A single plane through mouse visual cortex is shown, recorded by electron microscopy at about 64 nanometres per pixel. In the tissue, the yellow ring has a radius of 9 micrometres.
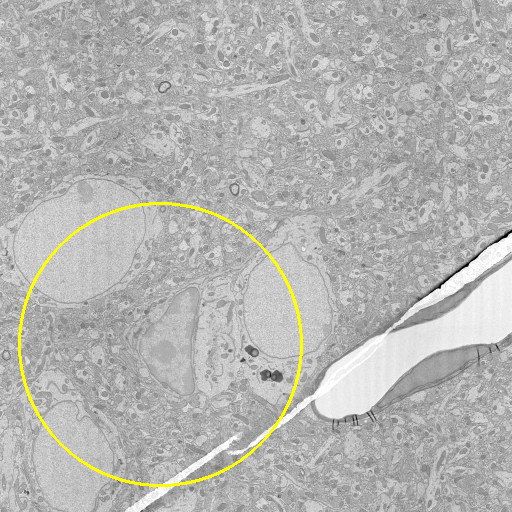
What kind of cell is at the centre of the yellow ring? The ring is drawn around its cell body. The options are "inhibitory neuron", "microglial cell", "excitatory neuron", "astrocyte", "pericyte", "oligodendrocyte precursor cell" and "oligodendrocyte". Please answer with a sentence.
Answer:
The yellow ring marks the cell body of a microglial cell.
